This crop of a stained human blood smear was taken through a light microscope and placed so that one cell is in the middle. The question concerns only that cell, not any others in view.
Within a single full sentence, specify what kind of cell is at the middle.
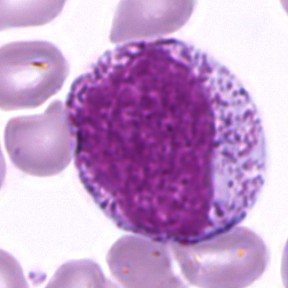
The middle of this crop is occupied by a myelocyte.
